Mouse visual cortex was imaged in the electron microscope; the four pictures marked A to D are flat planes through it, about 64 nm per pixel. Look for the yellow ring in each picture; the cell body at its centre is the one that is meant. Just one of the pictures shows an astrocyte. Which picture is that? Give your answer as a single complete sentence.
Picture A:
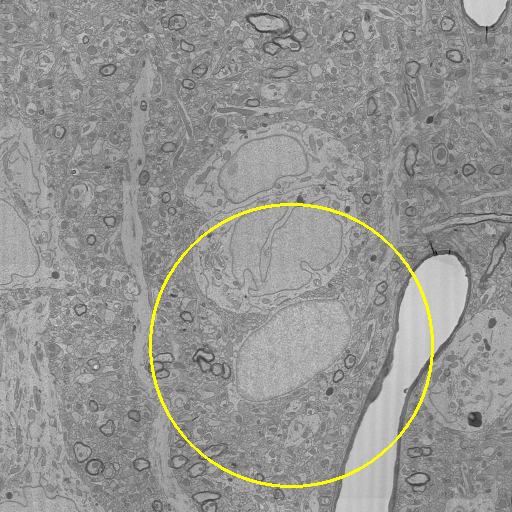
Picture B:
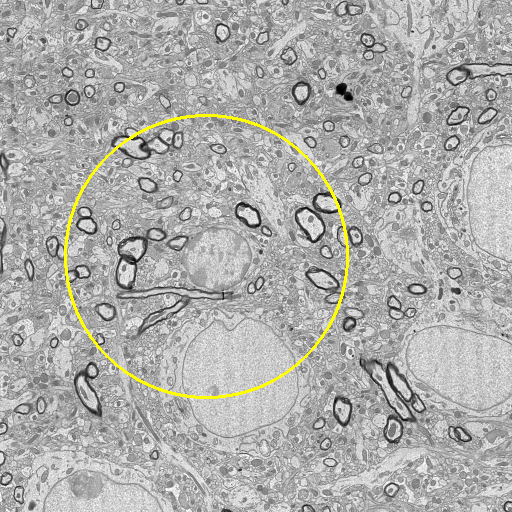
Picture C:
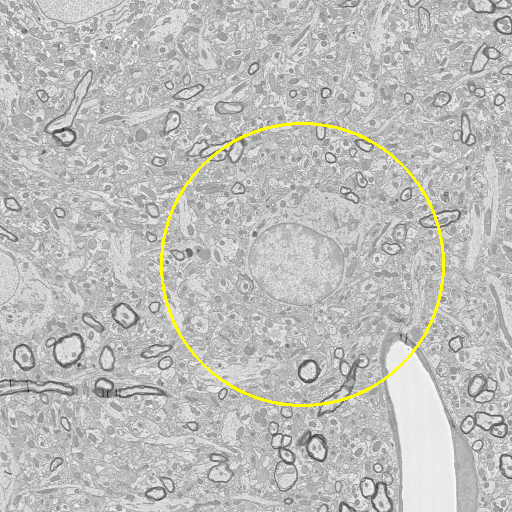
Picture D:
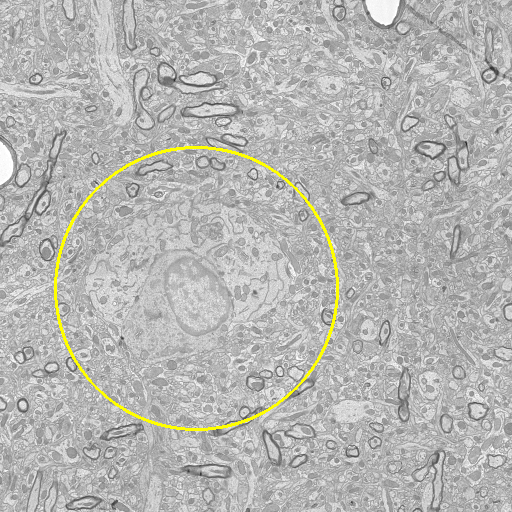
The picture with the astrocyte is A.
